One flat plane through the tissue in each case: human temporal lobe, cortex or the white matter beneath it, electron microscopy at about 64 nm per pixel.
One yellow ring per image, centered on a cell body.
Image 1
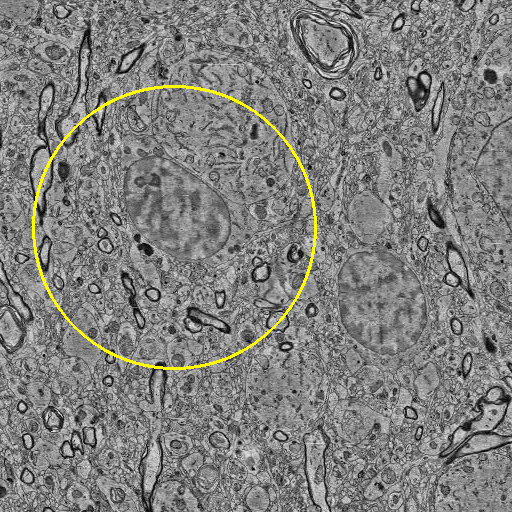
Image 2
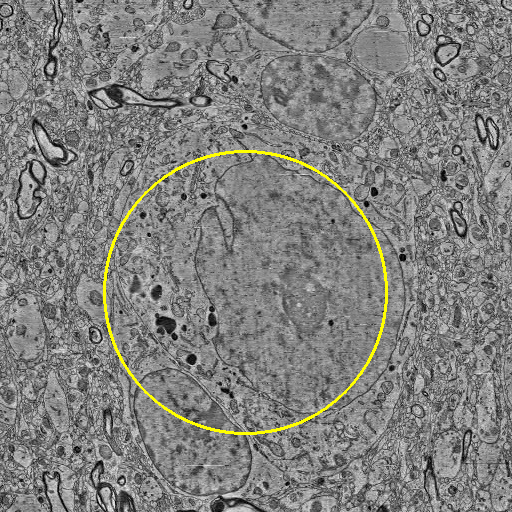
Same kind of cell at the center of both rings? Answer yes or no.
no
